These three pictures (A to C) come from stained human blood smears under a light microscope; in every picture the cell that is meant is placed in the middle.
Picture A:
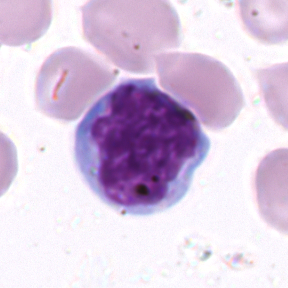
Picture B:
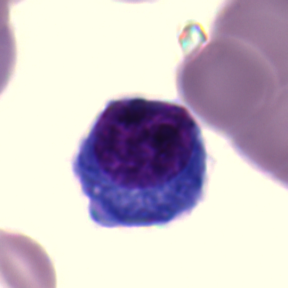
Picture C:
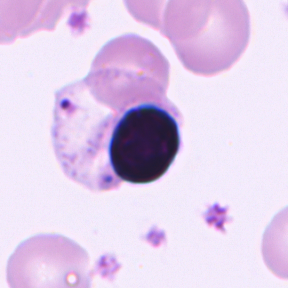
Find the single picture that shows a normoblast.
C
